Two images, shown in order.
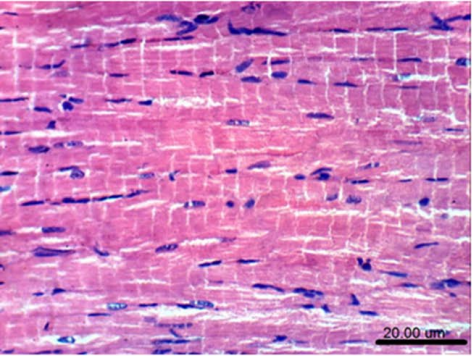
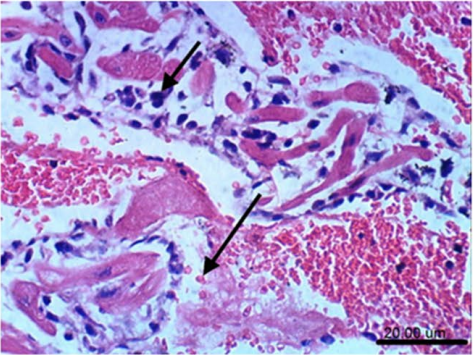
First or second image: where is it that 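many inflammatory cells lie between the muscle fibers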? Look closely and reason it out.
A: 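Second image: numerous small dark-nucleated cells lie in wide pale spaces between fragmented fibers.
Answer: the second image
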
